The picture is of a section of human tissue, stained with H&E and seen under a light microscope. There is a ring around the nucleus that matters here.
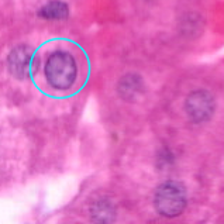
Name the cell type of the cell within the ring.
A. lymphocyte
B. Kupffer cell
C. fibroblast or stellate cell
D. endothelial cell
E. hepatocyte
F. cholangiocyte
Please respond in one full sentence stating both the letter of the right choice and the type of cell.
Of the options given, E is right: the cell within the ring is a hepatocyte.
